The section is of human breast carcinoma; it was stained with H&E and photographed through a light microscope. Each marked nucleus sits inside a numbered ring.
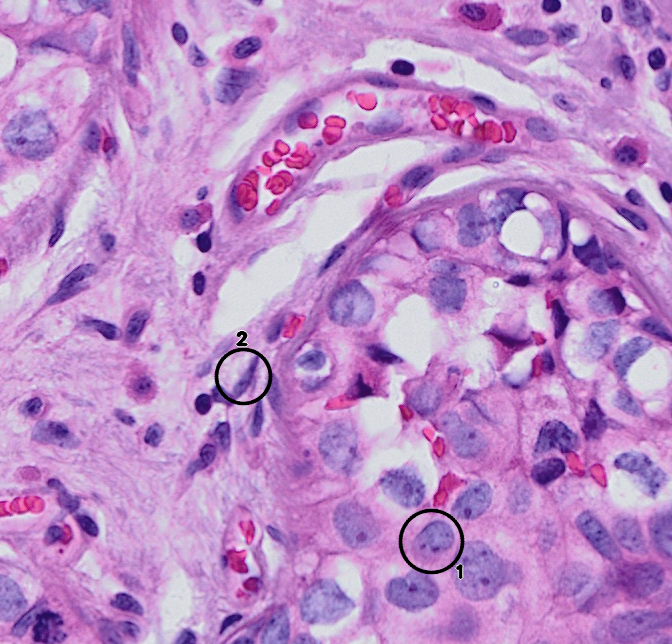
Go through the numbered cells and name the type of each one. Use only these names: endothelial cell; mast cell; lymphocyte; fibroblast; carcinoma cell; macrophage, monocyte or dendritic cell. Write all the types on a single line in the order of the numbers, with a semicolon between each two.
carcinoma cell; fibroblast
